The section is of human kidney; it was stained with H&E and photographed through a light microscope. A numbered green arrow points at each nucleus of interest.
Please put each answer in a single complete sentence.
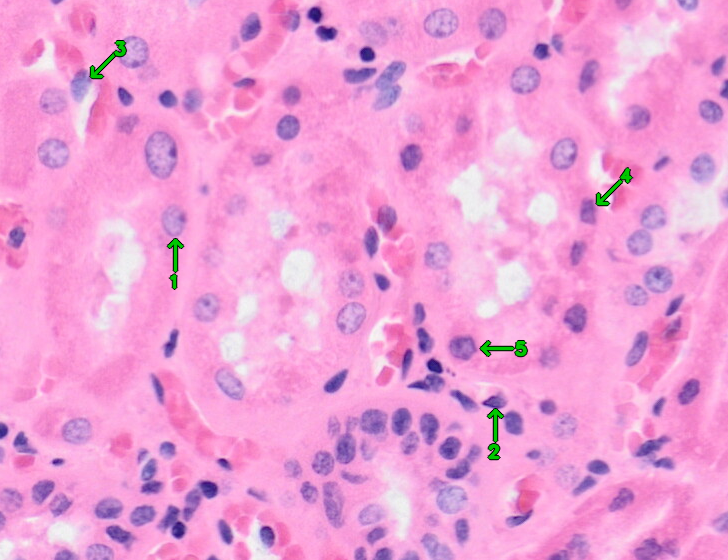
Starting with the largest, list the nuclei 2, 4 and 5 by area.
By area, largest first, they run 5, 4, 2.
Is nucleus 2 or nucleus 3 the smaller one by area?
It is nucleus 2; nucleus 3 has about 1.5 times its area.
